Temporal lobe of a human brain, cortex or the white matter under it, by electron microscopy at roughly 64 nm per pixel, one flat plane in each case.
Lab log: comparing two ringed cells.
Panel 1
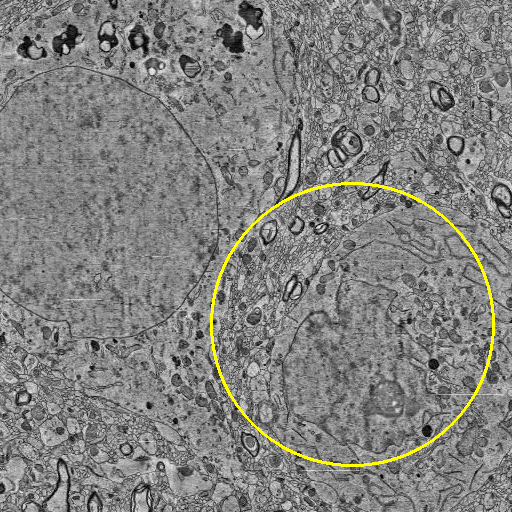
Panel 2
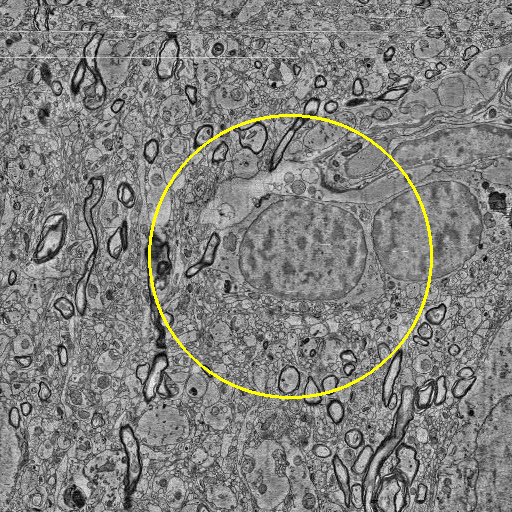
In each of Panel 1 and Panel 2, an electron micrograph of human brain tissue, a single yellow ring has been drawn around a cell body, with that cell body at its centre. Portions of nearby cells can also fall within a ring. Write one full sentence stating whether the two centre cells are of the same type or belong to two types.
The cells at the ring centres in Panel 1 and Panel 2 belong to two types.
